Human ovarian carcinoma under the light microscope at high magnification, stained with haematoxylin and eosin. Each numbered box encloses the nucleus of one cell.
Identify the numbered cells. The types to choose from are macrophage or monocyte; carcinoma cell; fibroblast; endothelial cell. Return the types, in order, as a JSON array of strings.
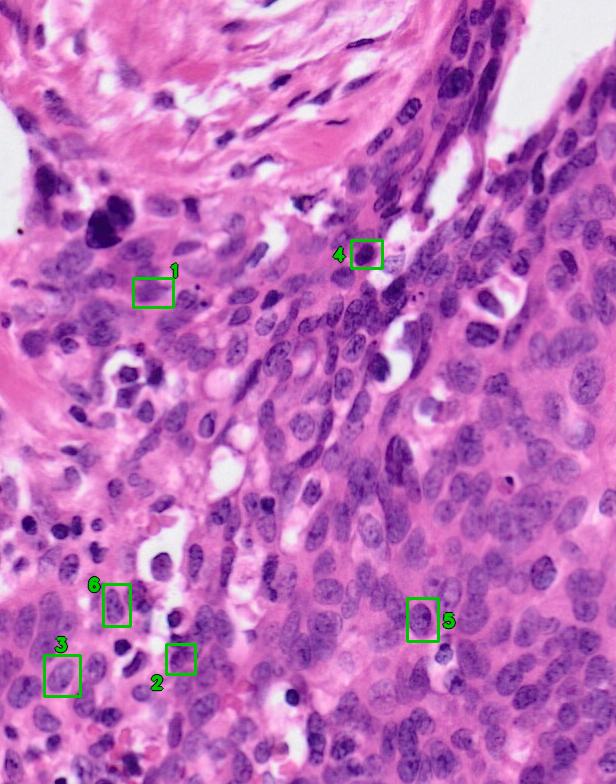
["carcinoma cell", "carcinoma cell", "macrophage or monocyte", "carcinoma cell", "carcinoma cell", "macrophage or monocyte"]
